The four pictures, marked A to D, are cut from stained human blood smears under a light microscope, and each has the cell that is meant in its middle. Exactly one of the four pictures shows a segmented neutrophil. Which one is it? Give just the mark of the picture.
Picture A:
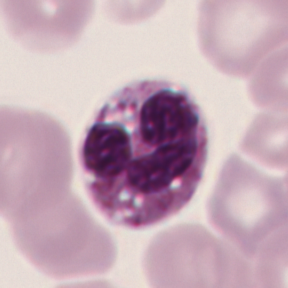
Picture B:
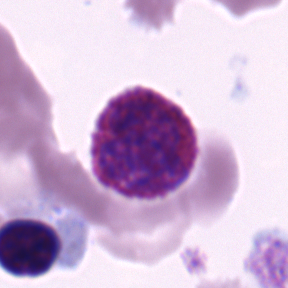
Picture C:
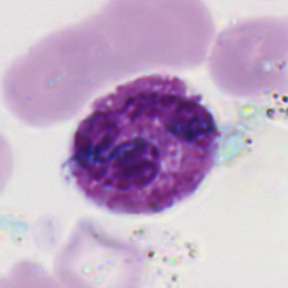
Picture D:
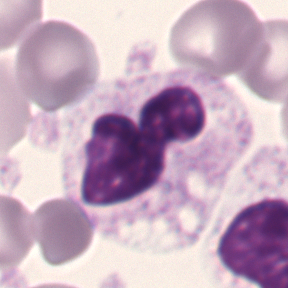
D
